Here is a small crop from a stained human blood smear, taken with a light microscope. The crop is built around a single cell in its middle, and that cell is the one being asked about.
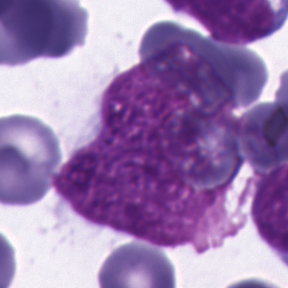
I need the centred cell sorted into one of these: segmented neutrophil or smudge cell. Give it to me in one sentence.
At the middle of the frame sits a smudge cell.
